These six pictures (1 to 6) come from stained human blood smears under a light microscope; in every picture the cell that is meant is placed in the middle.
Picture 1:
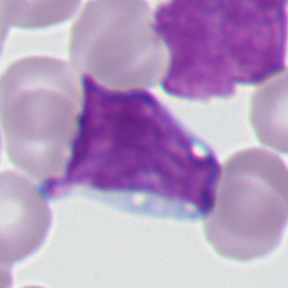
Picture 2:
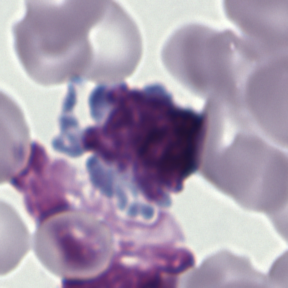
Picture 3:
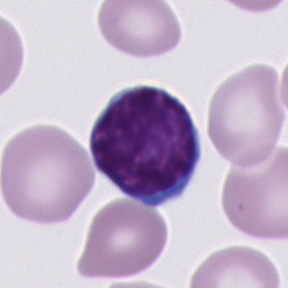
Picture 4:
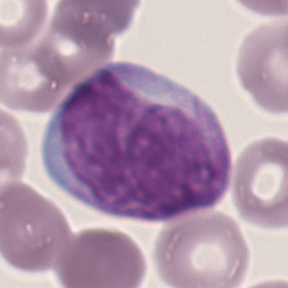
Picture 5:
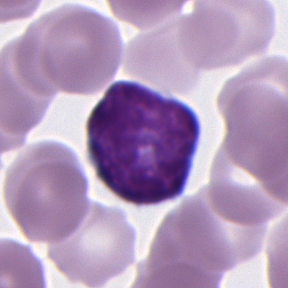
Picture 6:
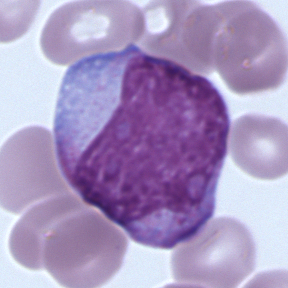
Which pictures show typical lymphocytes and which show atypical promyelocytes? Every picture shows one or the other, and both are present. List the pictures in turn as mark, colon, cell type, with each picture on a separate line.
1: typical lymphocyte
2: typical lymphocyte
3: typical lymphocyte
4: atypical promyelocyte
5: typical lymphocyte
6: atypical promyelocyte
